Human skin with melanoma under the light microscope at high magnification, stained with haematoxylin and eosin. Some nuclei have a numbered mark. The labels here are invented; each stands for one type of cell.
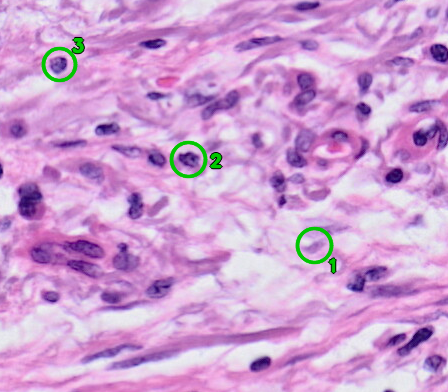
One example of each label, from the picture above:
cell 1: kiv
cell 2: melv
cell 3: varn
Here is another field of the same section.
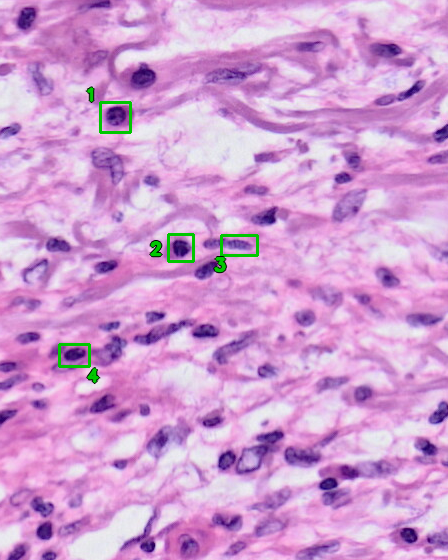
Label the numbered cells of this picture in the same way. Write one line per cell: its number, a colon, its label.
1: melv
2: melv
3: kiv
4: melv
